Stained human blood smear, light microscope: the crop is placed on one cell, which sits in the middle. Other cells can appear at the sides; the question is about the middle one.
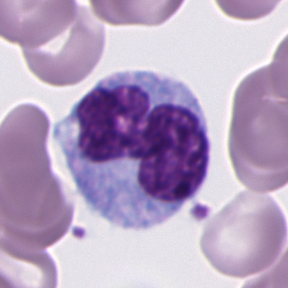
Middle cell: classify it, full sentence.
The cell occupying the middle of the crop is a monocyte.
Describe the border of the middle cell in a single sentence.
No surface projections are present; the cell outline is smooth.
